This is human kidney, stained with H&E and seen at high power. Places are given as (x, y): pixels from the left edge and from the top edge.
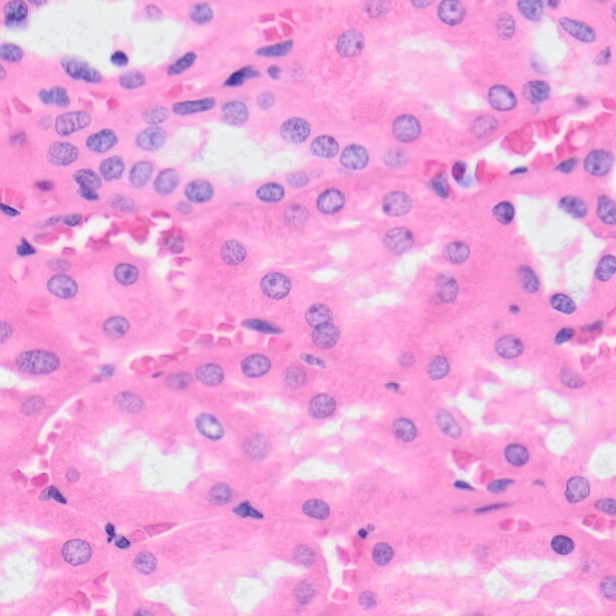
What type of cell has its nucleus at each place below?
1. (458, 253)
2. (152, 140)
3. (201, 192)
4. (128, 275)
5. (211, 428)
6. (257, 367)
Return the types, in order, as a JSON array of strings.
["proximal tubule cell", "collecting duct cell", "collecting duct cell", "proximal tubule cell", "proximal tubule cell", "proximal tubule cell"]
